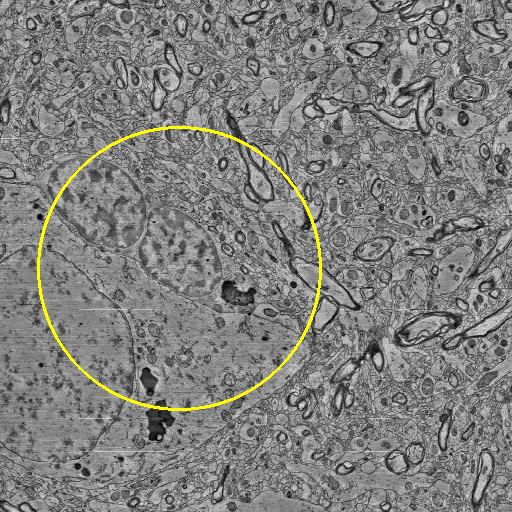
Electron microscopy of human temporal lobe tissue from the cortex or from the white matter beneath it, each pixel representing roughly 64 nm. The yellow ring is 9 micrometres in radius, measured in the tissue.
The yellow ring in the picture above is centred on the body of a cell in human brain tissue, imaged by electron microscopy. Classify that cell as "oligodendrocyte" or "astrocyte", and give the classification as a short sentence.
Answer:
The cell in the middle of the ring is an oligodendrocyte.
